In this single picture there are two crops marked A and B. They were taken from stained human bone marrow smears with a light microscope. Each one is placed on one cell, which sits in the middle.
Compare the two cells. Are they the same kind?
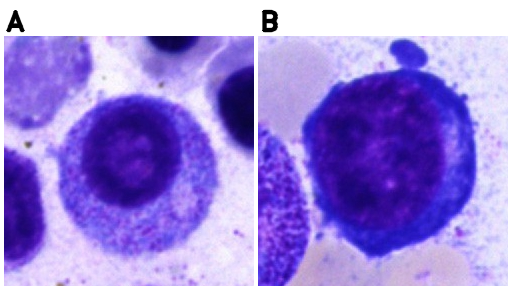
no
